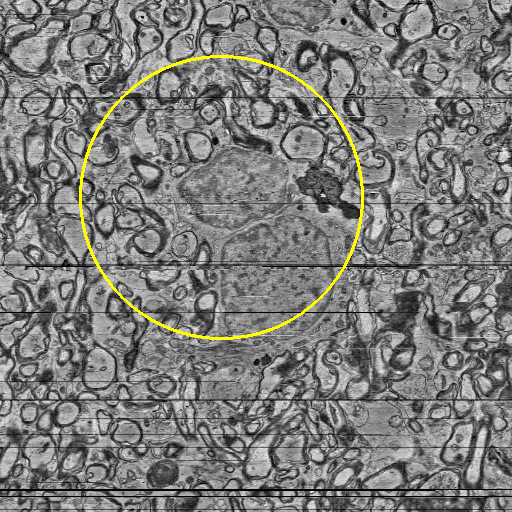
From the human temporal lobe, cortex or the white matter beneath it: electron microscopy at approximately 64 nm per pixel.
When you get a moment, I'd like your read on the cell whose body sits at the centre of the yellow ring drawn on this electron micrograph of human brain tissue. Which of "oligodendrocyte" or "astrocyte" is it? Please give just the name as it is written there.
oligodendrocyte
